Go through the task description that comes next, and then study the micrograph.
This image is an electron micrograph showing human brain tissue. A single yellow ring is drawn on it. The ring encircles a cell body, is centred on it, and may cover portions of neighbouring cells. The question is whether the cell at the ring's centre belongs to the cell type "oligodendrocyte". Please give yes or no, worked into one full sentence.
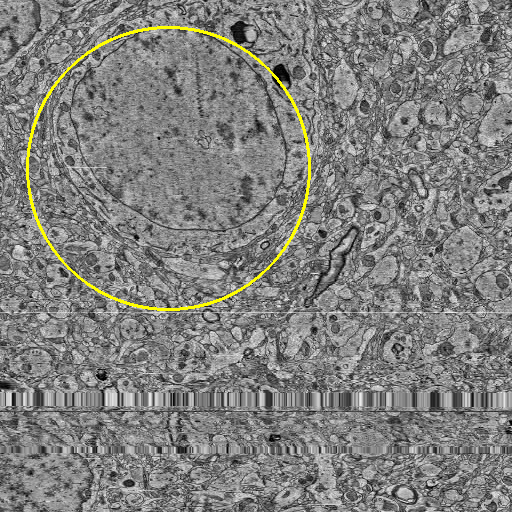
No, the cell that the ring is centred on in the micrograph is of another kind.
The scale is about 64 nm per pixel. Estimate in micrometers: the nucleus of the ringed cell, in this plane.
About 15 micrometres by about 12 micrometres in this plane.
